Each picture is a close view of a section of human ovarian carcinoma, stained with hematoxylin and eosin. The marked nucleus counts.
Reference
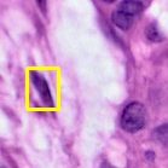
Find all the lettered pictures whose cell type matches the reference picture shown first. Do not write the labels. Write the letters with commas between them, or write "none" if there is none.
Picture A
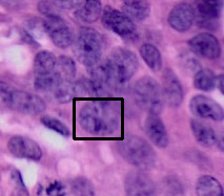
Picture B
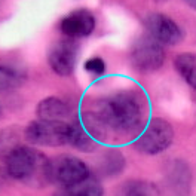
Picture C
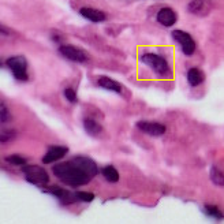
C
